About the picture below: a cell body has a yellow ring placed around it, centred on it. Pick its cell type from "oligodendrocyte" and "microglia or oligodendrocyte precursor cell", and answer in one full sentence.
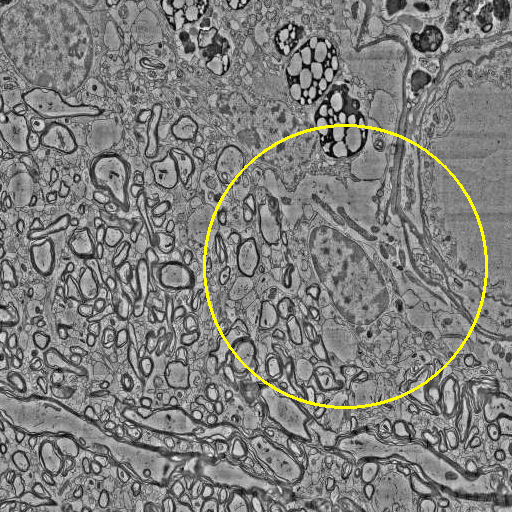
In the picture, a microglial cell or oligodendrocyte precursor cell is the cell sitting at the centre of the yellow ring.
